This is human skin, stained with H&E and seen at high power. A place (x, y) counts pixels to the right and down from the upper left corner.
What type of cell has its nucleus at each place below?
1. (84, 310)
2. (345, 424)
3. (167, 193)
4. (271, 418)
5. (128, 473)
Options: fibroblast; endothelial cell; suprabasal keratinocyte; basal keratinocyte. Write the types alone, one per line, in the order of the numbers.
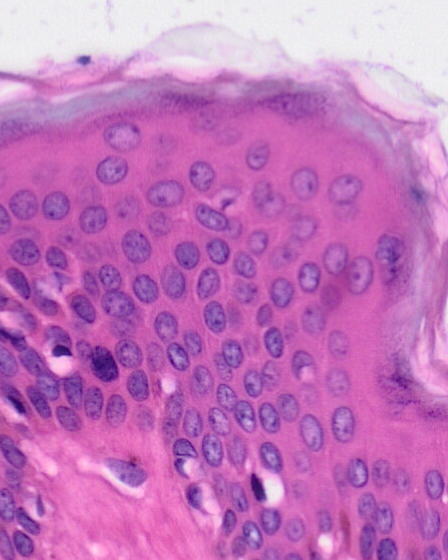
basal keratinocyte
suprabasal keratinocyte
suprabasal keratinocyte
suprabasal keratinocyte
fibroblast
